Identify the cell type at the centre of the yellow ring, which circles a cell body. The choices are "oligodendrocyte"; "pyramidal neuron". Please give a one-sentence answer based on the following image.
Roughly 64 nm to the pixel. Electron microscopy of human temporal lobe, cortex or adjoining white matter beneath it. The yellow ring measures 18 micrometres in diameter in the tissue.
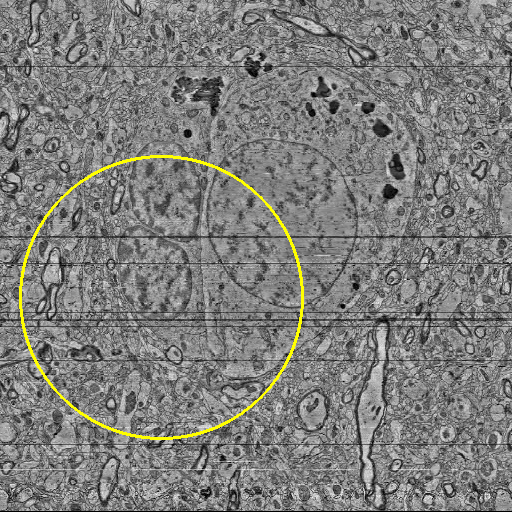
The cell marked by the ring is an oligodendrocyte.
